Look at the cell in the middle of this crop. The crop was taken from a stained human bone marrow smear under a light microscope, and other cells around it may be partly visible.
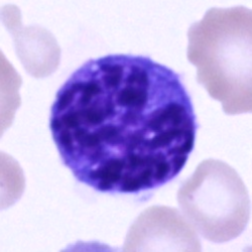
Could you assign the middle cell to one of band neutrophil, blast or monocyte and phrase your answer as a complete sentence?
The centrally positioned cell in the crop represents a monocyte.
